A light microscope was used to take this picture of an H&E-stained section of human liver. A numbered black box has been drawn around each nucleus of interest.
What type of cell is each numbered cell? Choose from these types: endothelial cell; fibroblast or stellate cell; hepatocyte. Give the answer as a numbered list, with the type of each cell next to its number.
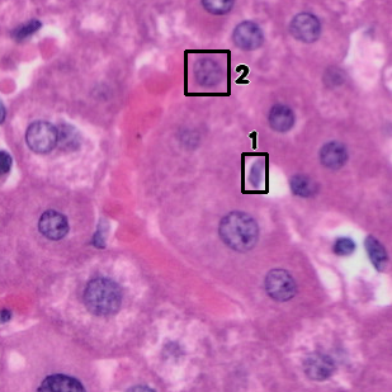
1. endothelial cell
2. hepatocyte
